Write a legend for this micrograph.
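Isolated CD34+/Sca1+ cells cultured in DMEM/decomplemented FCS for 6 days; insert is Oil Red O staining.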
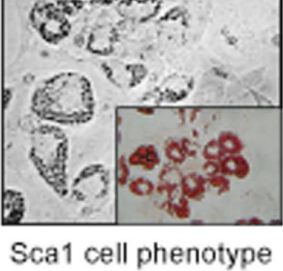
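The droplet-filled cells lie in loose clusters among flatter, paler cells. In the inset, the droplets of rounded cells stain red, forming rings that fill much of each cell.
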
